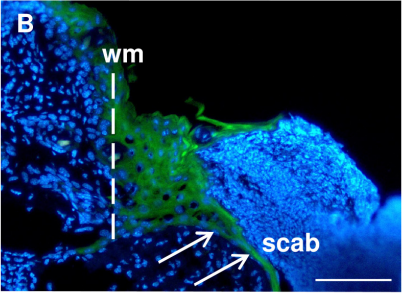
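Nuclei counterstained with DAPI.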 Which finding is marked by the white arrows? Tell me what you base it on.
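A tongue of green epithelium extends from the skin edge beneath the scab. The answer: neo-epithelium migration.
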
